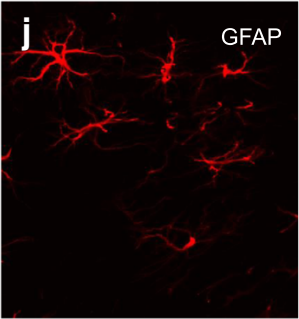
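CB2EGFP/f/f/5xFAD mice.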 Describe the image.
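This field shows astrocytes, seen as red star-shaped cells. The cells are scattered across the field with some space between them rather than forming a tight cluster. The processes are long and fine, and several cells stand in the upper half of the field with fewer toward the bottom.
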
